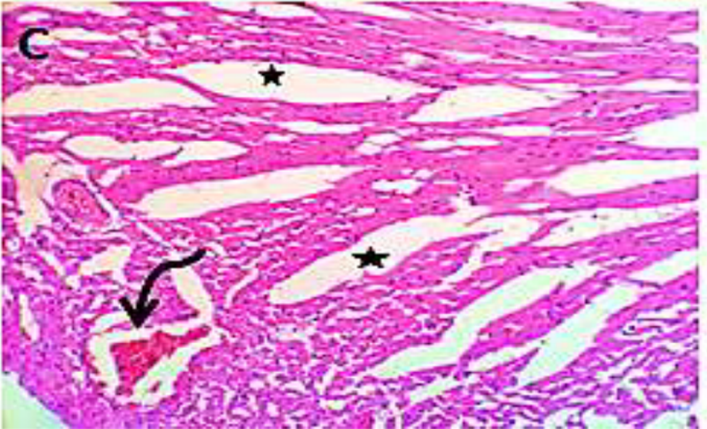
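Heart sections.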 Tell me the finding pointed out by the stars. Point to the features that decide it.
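Wide empty clear spaces separate bundles of pink muscle fibres. The spaces run parallel to the fibres. That points to this answer: interstitial edema.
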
